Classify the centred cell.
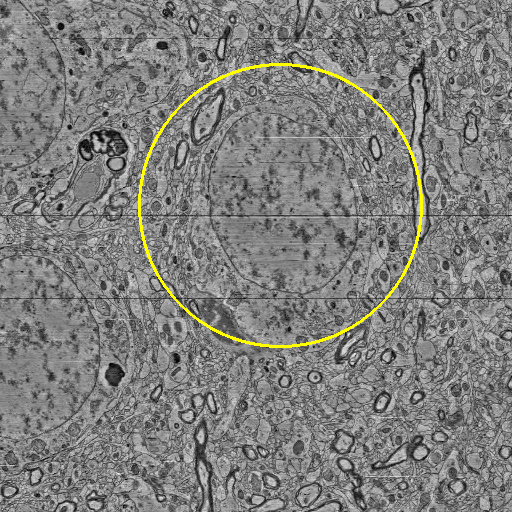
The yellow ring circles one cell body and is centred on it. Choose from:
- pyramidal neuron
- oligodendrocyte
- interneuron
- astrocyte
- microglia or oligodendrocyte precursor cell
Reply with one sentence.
The ring is centred on a pyramidal neuron.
